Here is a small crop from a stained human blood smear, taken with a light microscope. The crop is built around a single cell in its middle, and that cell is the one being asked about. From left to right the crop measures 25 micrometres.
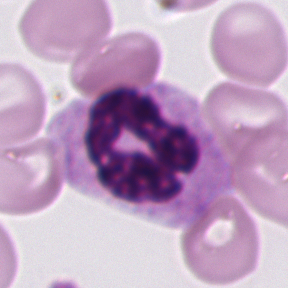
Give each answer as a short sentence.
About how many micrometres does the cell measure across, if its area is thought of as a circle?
About 15 micrometres: that is the cell's diameter.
